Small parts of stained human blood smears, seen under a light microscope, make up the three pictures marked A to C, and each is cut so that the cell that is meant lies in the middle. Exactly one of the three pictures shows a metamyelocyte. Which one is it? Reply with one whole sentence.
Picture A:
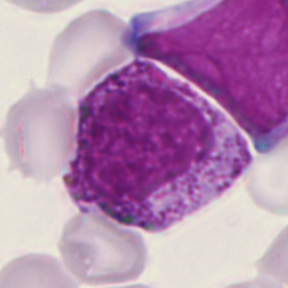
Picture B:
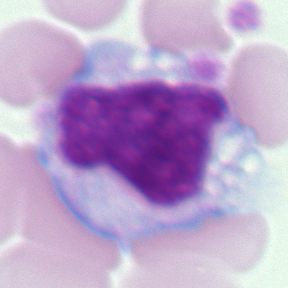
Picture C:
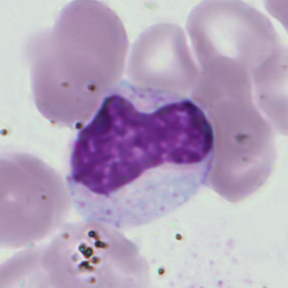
Picture C is the one that shows the metamyelocyte.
